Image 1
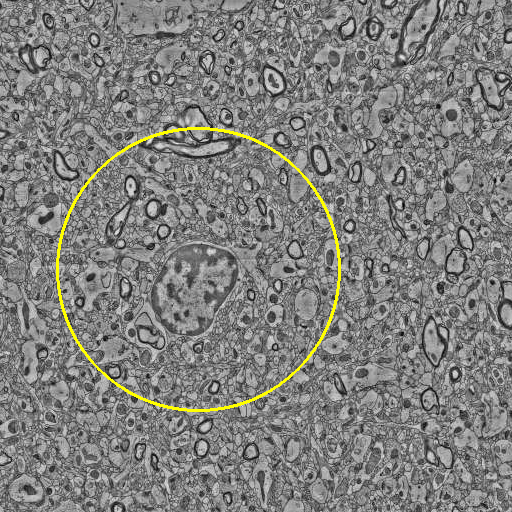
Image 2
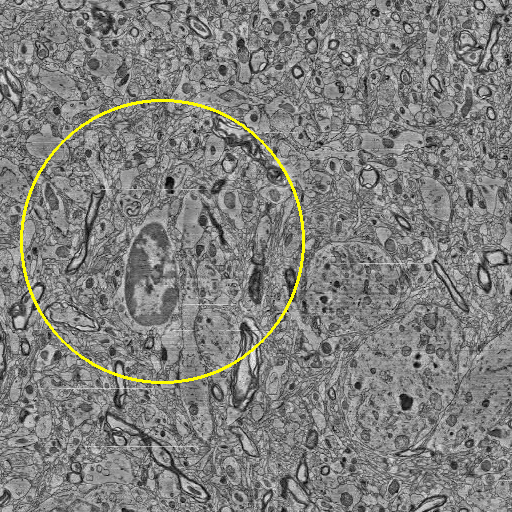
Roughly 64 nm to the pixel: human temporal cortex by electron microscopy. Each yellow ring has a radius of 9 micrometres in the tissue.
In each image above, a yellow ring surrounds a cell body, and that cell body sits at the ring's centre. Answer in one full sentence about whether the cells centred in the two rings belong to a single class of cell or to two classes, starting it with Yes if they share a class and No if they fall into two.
Yes, the cells centred in the two yellow rings belong to a single class of cell.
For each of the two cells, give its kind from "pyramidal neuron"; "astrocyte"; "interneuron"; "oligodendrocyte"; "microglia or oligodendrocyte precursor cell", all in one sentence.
The ring centre holds a microglial cell or oligodendrocyte precursor cell in each of the two pictures.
